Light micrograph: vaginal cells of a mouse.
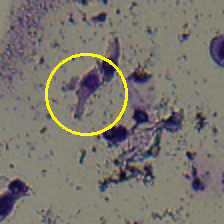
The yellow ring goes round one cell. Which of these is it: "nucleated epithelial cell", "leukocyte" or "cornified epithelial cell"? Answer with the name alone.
nucleated epithelial cell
